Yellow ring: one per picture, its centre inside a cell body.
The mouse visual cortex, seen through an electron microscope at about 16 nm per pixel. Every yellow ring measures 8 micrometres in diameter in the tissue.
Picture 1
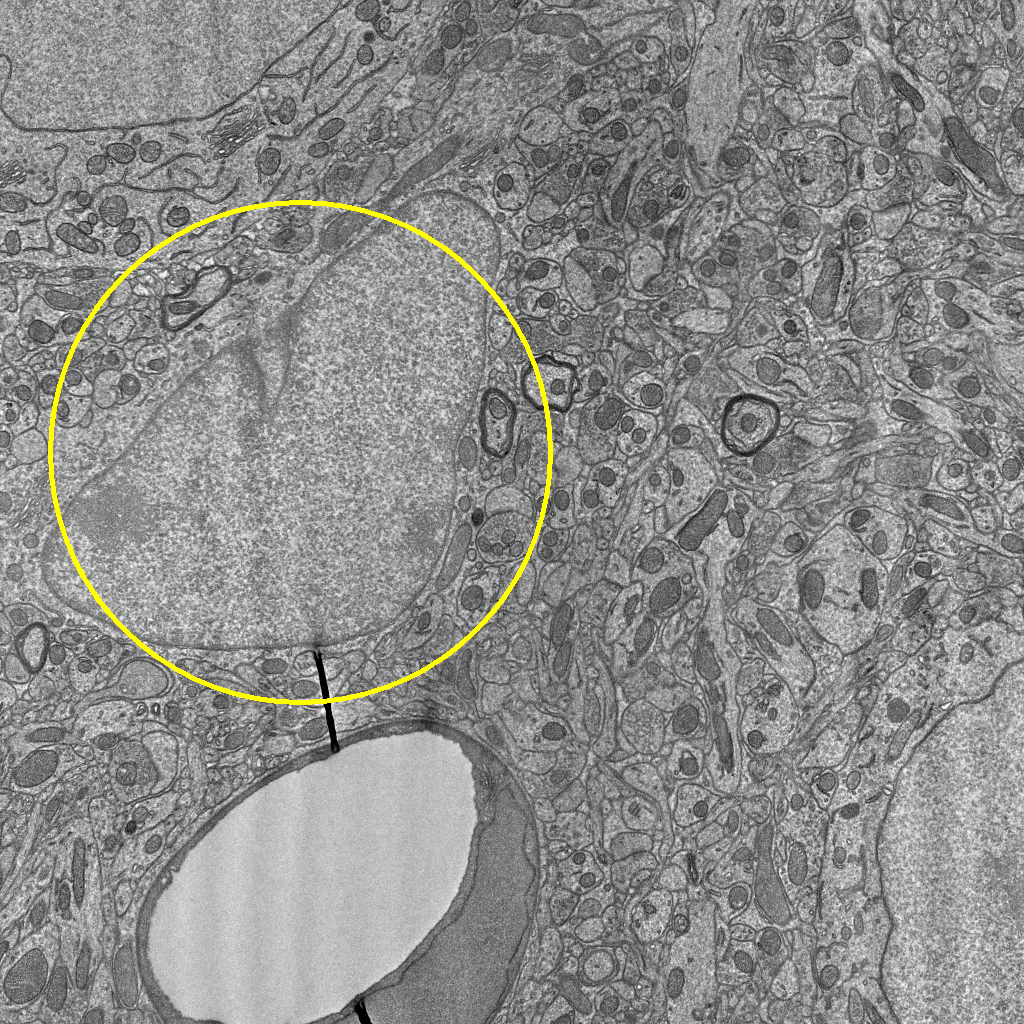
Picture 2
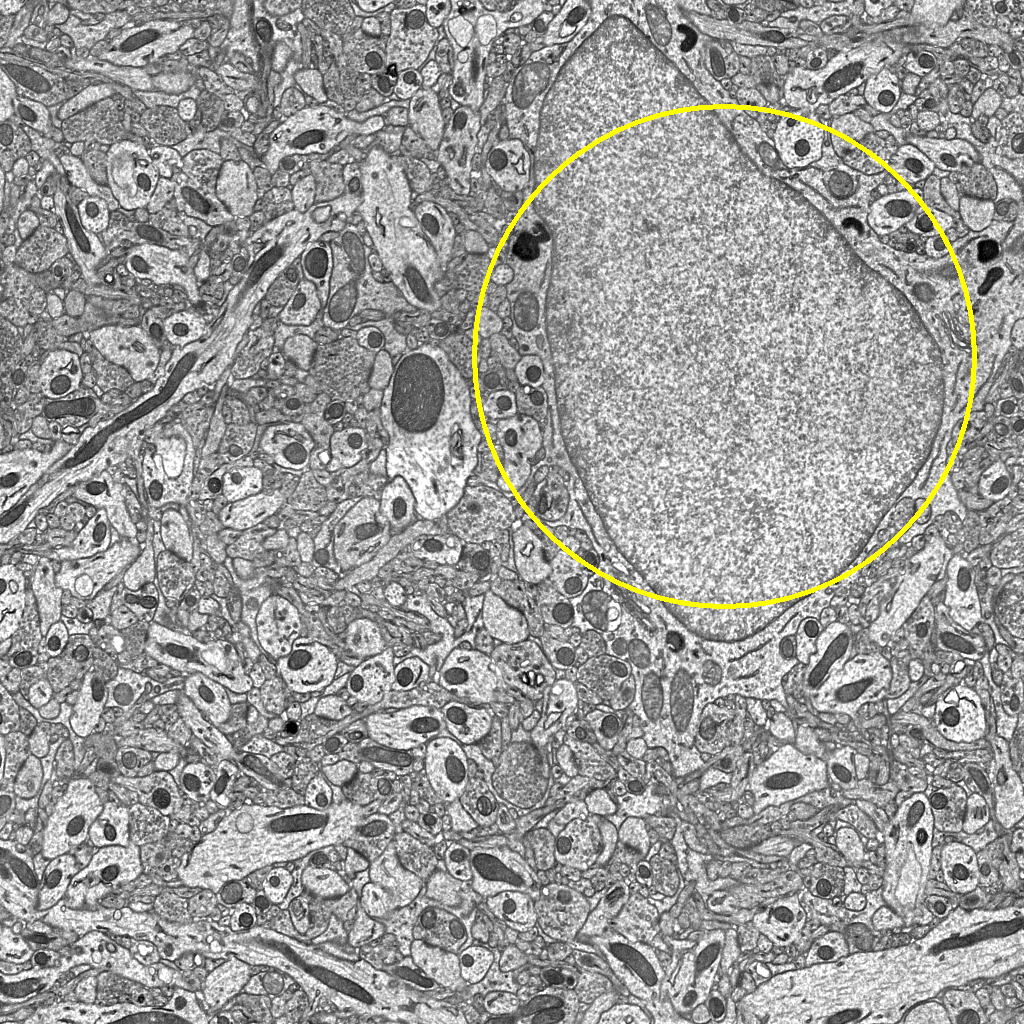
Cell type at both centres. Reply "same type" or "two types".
same type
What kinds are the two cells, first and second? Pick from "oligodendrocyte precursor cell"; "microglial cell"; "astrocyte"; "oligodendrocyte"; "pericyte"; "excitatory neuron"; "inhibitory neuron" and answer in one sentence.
The ring centre holds an astrocyte in each of the two pictures.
